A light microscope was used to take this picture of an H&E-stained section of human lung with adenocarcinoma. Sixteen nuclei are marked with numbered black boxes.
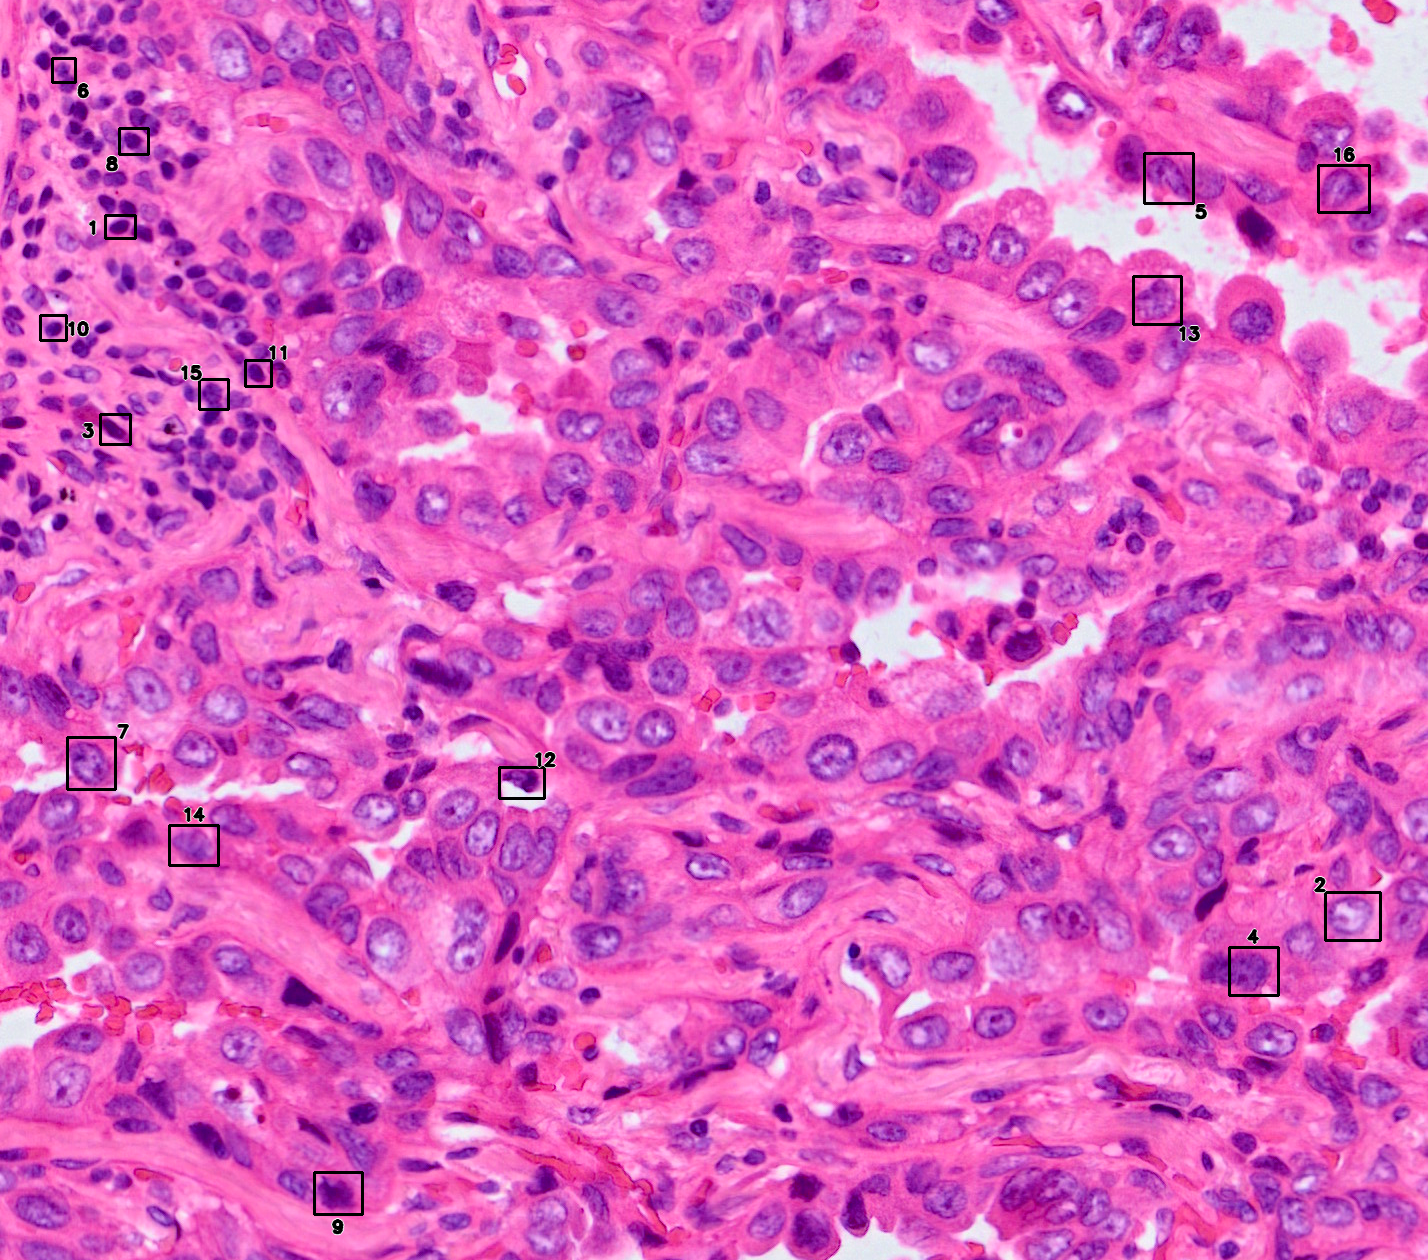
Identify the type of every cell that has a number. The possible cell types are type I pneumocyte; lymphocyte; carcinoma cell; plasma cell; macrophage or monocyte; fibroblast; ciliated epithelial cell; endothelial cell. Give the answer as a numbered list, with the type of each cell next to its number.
1. lymphocyte
2. carcinoma cell
3. plasma cell
4. carcinoma cell
5. carcinoma cell
6. lymphocyte
7. carcinoma cell
8. lymphocyte
9. carcinoma cell
10. lymphocyte
11. lymphocyte
12. carcinoma cell
13. carcinoma cell
14. carcinoma cell
15. lymphocyte
16. carcinoma cell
